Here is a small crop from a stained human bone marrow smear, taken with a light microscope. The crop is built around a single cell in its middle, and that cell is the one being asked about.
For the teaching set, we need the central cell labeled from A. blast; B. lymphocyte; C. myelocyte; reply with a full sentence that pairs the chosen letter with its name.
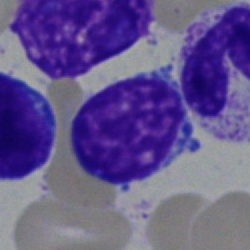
Since the cell in the middle is a lymphocyte, option B is correct.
